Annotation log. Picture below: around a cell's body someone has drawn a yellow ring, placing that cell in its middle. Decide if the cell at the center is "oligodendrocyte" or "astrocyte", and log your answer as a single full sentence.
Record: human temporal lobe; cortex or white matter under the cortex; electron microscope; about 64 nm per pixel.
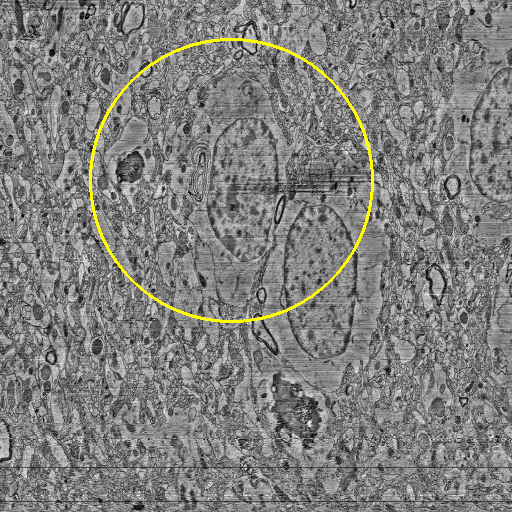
My entry records an astrocyte as the cell sitting at the center of the yellow ring.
